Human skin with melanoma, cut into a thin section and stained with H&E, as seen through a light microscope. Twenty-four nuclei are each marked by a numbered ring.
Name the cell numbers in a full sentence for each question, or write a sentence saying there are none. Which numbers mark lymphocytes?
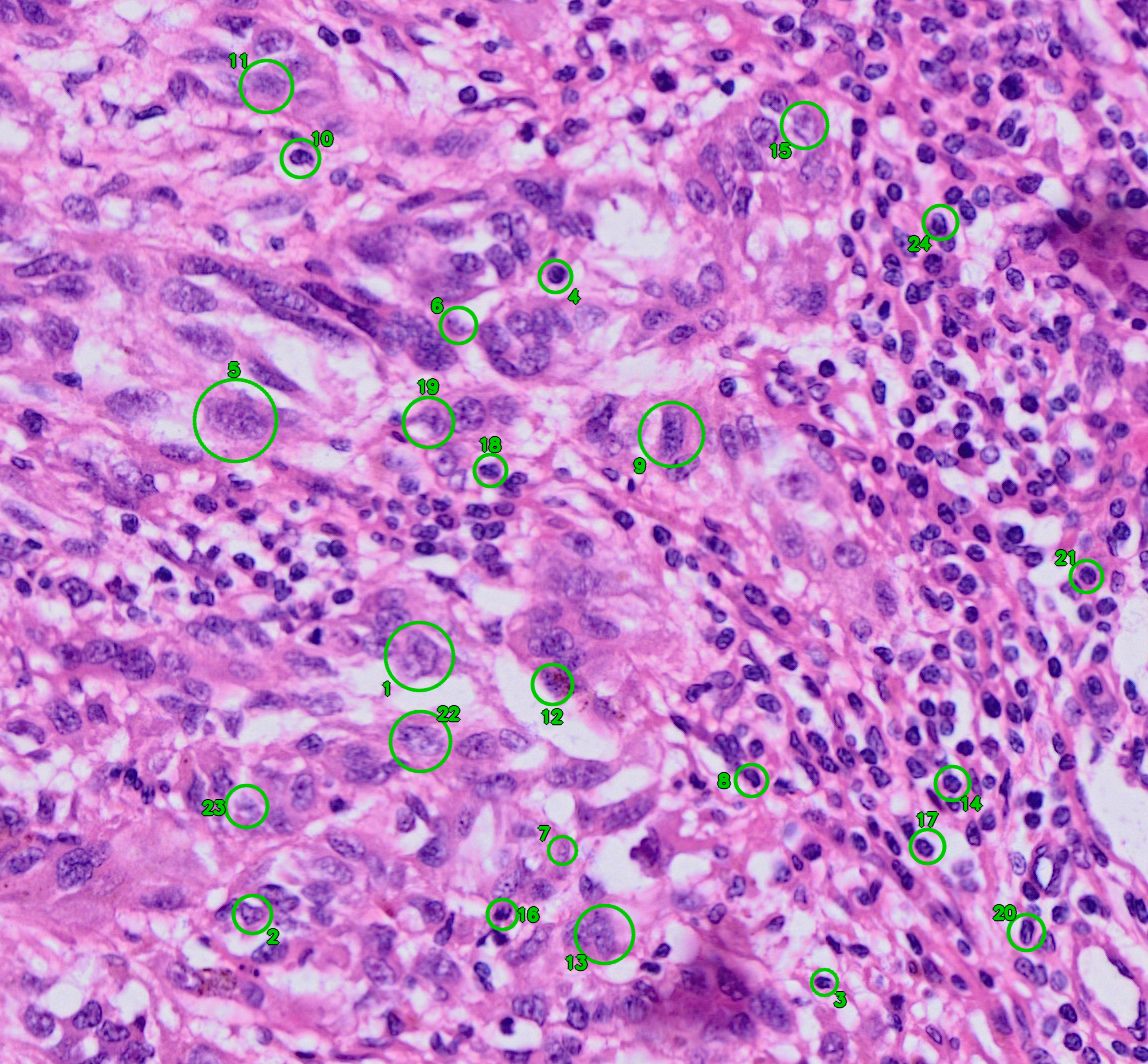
The cells labelled 3, 4, 8, 10, 14, 16, 17, 18, 20, 21 and 24 in this section are lymphocytes.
